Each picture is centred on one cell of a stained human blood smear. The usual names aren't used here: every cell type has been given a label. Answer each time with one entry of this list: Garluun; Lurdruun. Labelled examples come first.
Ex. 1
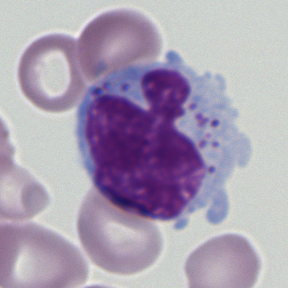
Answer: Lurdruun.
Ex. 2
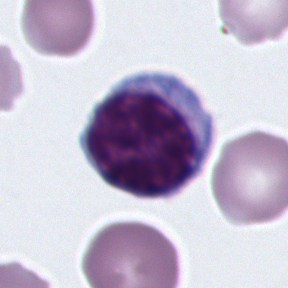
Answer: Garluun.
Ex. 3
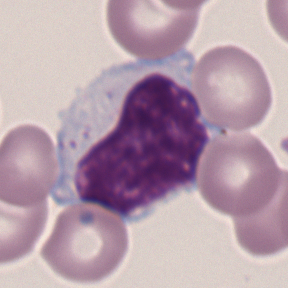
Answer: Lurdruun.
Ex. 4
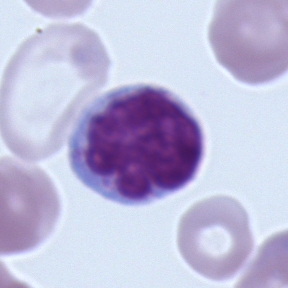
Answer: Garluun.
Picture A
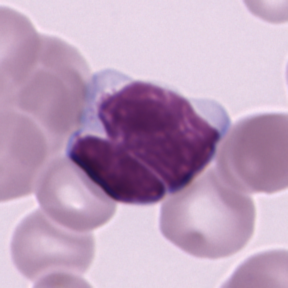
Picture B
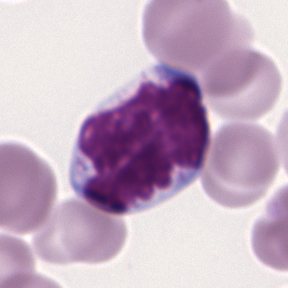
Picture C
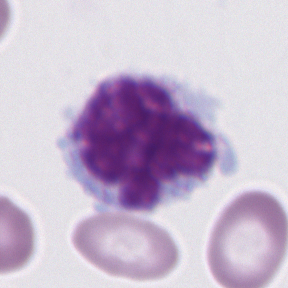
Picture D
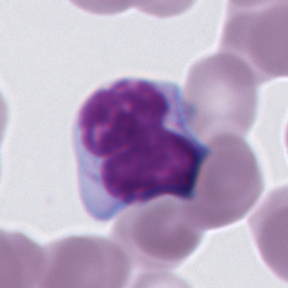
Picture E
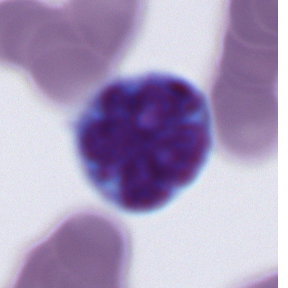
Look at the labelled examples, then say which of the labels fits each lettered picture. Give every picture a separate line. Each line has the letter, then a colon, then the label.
A: Lurdruun.
B: Lurdruun.
C: Lurdruun.
D: Lurdruun.
E: Garluun.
